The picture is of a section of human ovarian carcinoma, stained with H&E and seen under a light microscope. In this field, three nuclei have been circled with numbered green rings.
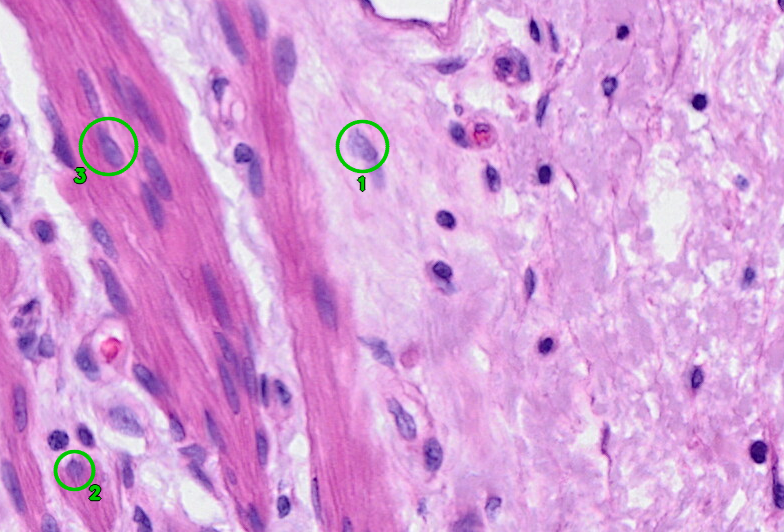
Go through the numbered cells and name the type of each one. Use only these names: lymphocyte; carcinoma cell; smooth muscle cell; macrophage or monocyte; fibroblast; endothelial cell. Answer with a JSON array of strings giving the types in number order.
["fibroblast", "smooth muscle cell", "smooth muscle cell"]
